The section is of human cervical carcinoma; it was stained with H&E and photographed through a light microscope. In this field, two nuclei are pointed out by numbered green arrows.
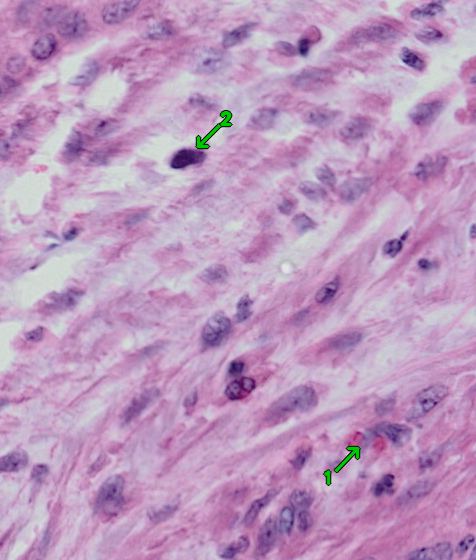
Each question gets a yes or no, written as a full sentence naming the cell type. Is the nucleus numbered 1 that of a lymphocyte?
No, as for cell 1, it is an endothelial cell and not a lymphocyte.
